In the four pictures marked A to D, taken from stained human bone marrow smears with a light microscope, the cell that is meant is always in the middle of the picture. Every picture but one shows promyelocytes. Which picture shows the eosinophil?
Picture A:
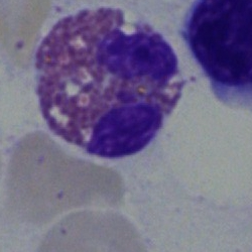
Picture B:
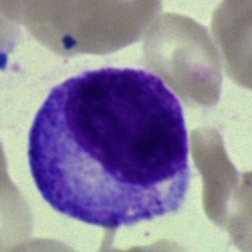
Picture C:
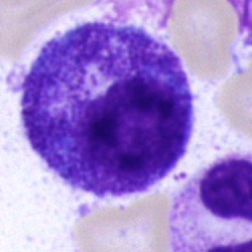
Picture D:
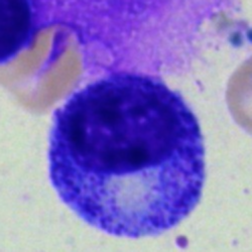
A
